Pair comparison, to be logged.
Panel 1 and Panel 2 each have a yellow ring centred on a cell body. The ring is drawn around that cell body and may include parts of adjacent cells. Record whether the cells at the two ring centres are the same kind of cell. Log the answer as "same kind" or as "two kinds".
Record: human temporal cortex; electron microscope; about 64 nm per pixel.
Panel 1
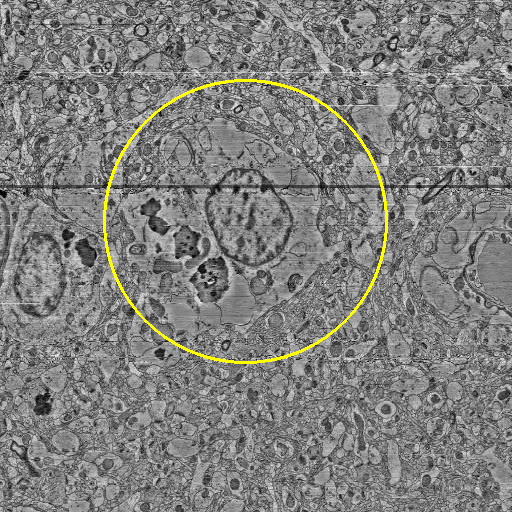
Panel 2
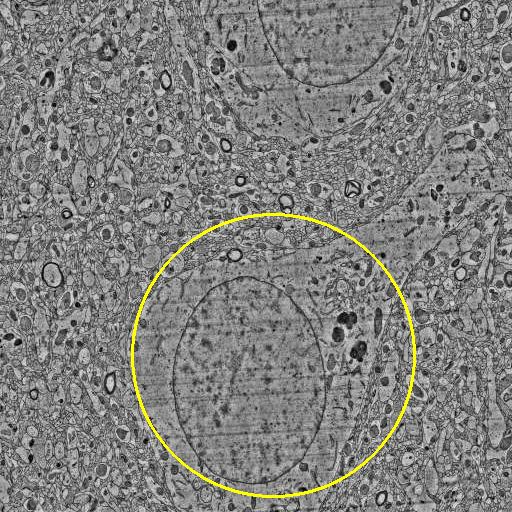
two kinds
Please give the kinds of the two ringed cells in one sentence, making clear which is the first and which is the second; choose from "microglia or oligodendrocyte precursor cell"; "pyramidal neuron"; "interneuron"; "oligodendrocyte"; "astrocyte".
In the second picture the ringed cell is a pyramidal neuron; in the first it is an astrocyte.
